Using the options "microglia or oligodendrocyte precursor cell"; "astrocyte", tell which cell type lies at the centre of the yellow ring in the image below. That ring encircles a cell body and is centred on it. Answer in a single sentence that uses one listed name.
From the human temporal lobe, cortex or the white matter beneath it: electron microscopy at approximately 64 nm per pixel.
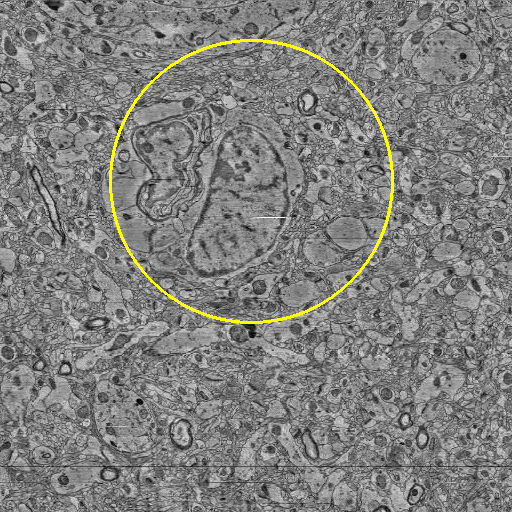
At the centre of the yellow ring lies the body of a microglial cell or oligodendrocyte precursor cell.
